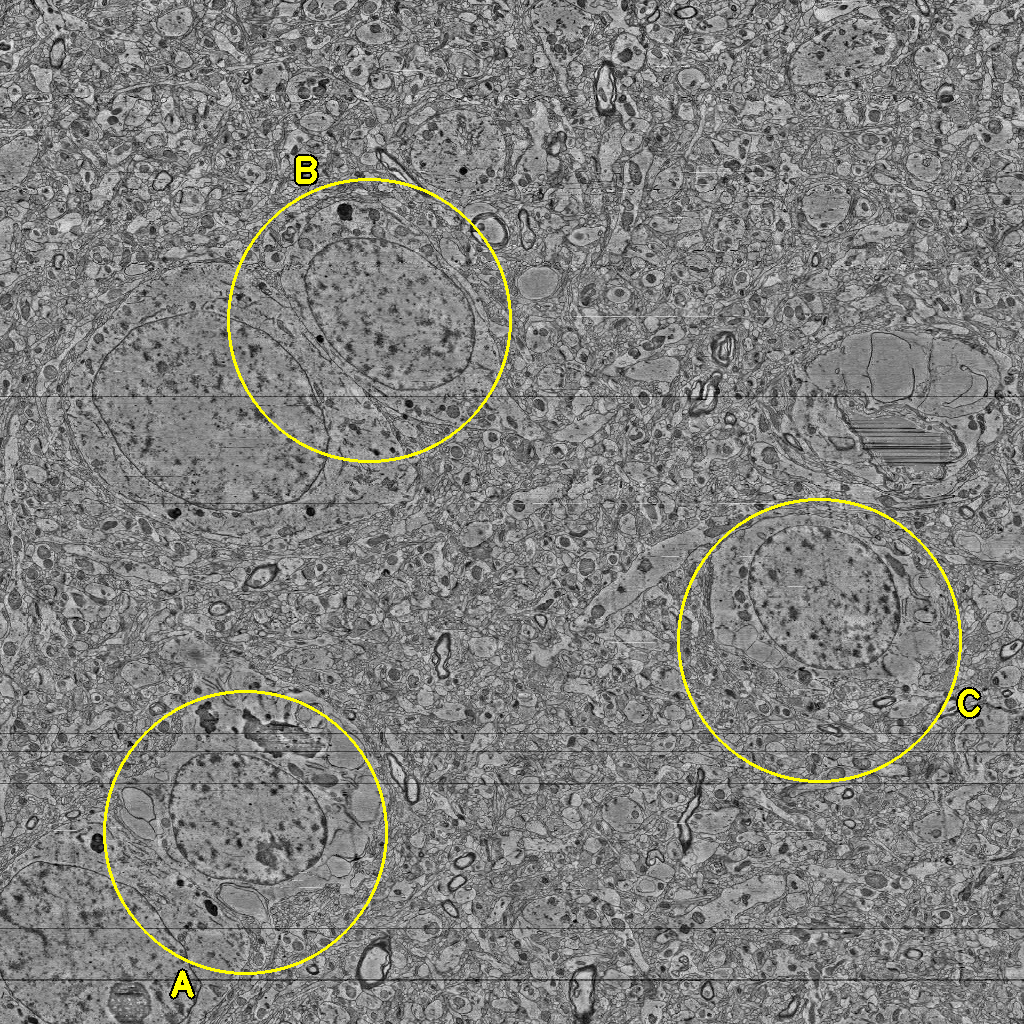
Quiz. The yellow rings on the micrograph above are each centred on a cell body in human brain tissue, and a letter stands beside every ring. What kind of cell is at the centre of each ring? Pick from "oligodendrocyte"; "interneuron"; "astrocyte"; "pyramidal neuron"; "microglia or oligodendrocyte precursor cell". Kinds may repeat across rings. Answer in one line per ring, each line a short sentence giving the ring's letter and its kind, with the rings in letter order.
The ring labelled A has an astrocyte at its centre.
The ring labelled B has a pyramidal neuron at its centre.
The ring labelled C has an astrocyte at its centre.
